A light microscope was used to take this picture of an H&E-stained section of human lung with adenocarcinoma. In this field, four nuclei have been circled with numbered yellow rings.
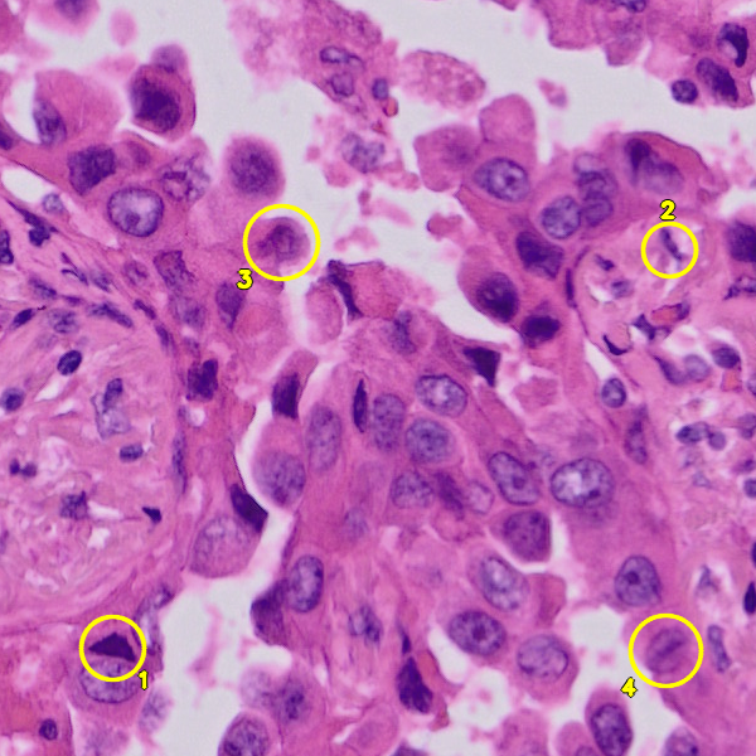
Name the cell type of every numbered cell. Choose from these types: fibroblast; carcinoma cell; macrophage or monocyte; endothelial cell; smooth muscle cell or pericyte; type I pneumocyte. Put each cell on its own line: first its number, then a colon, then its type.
1: carcinoma cell
2: fibroblast
3: carcinoma cell
4: carcinoma cell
